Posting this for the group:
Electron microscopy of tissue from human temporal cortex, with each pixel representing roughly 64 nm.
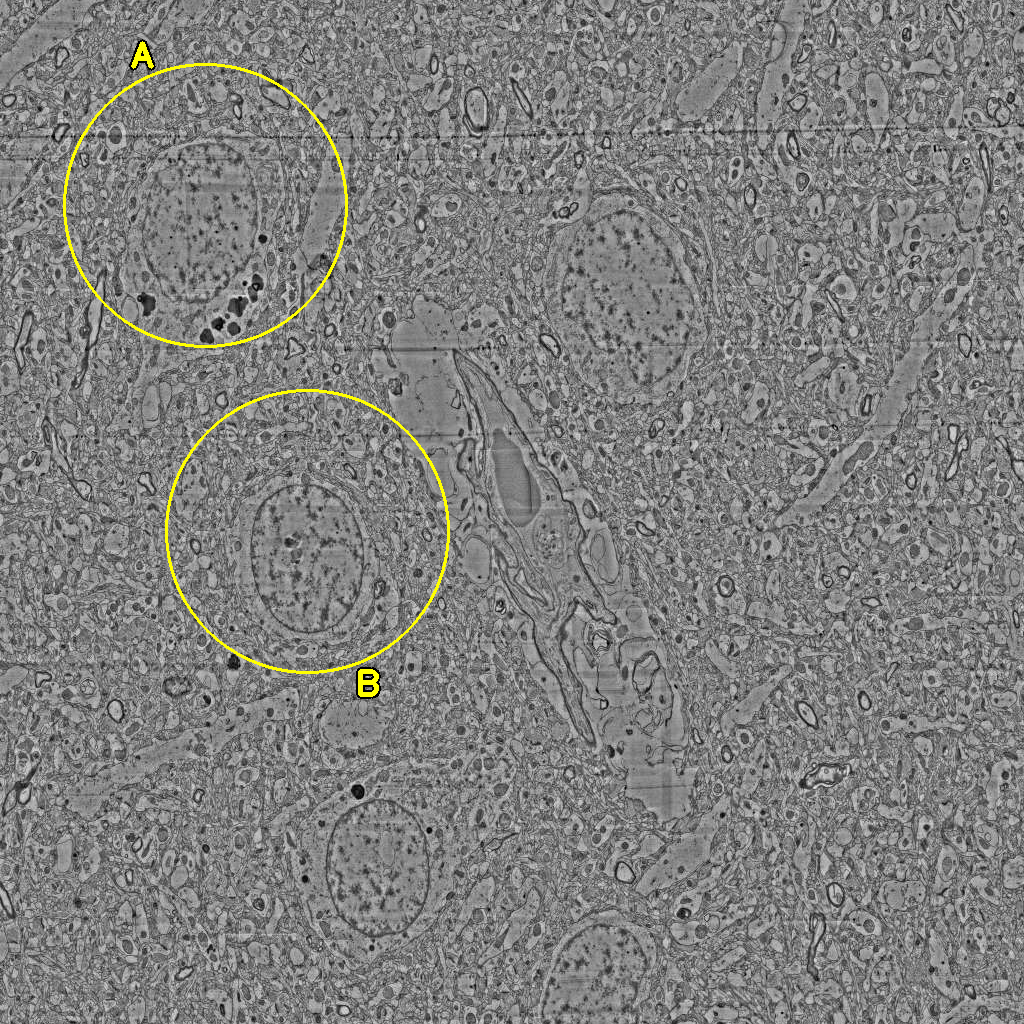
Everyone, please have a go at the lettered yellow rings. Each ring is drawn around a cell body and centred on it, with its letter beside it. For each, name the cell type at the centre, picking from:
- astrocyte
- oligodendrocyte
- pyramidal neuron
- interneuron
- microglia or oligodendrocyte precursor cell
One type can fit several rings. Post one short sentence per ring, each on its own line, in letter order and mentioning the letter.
My call for ring A is an interneuron.
My call for ring B is a pyramidal neuron.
